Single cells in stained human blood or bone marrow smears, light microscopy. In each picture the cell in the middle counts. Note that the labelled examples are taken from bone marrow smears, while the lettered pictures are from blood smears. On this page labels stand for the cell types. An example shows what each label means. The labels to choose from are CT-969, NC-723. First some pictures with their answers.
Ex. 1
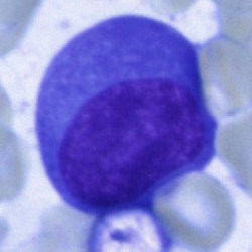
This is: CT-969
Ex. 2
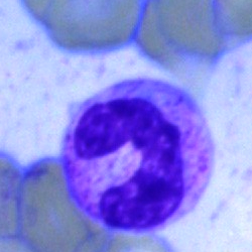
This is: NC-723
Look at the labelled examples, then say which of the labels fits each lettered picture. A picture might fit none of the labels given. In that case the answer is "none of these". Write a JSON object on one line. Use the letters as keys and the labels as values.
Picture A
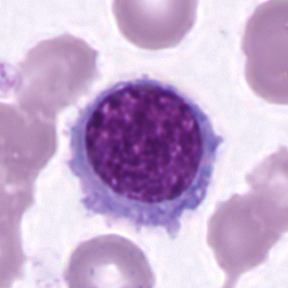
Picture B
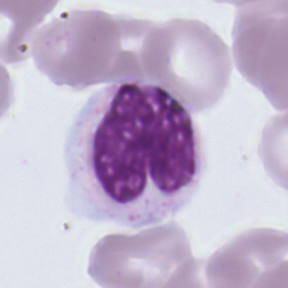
{"A": "CT-969", "B": "NC-723"}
